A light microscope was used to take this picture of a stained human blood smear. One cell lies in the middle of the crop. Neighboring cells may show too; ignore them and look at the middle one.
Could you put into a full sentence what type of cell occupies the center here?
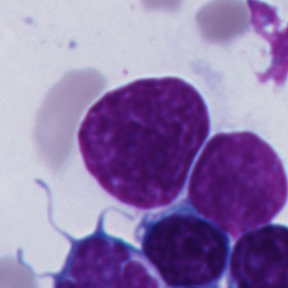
On this slide crop, the central cell is a myeloblast.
